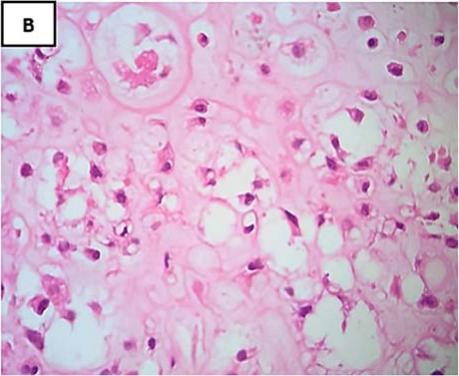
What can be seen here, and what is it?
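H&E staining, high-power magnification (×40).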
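A pale pink, glassy matrix holds scattered cells, each sitting in a rounded clear space, with dark, irregular and variably sized nuclei; some spaces hold more than one cell. This is chondroid matrix containing neoplastic cells with cytological atypia.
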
